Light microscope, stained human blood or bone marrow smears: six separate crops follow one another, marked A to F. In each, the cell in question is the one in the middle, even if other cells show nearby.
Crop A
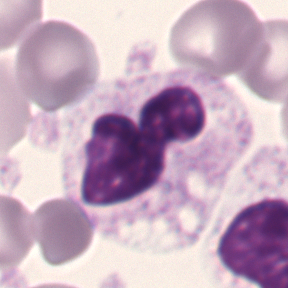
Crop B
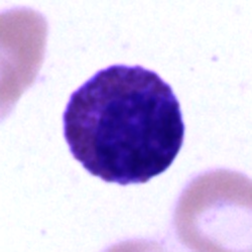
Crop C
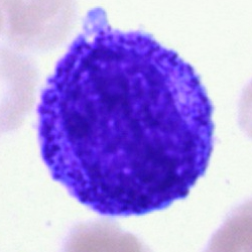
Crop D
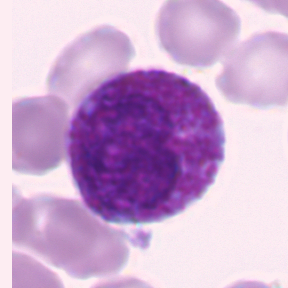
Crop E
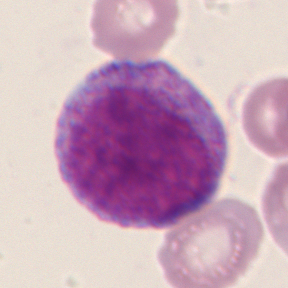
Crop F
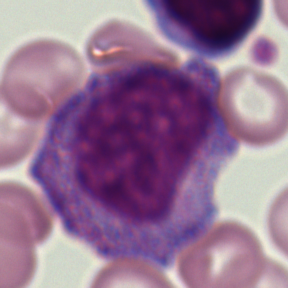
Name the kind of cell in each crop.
A: segmented neutrophil
B: eosinophil
C: promyelocyte
D: eosinophil
E: promyelocyte
F: promyelocyte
